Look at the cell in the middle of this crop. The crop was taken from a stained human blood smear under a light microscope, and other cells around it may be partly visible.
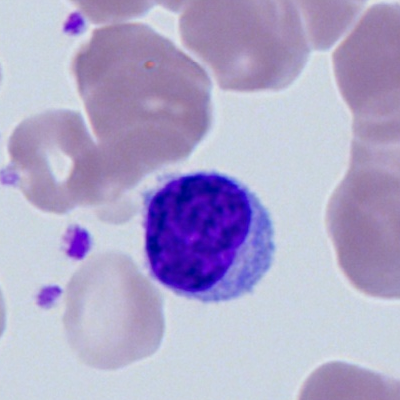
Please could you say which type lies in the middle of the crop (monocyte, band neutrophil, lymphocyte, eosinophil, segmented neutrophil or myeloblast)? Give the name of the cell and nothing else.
lymphocyte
